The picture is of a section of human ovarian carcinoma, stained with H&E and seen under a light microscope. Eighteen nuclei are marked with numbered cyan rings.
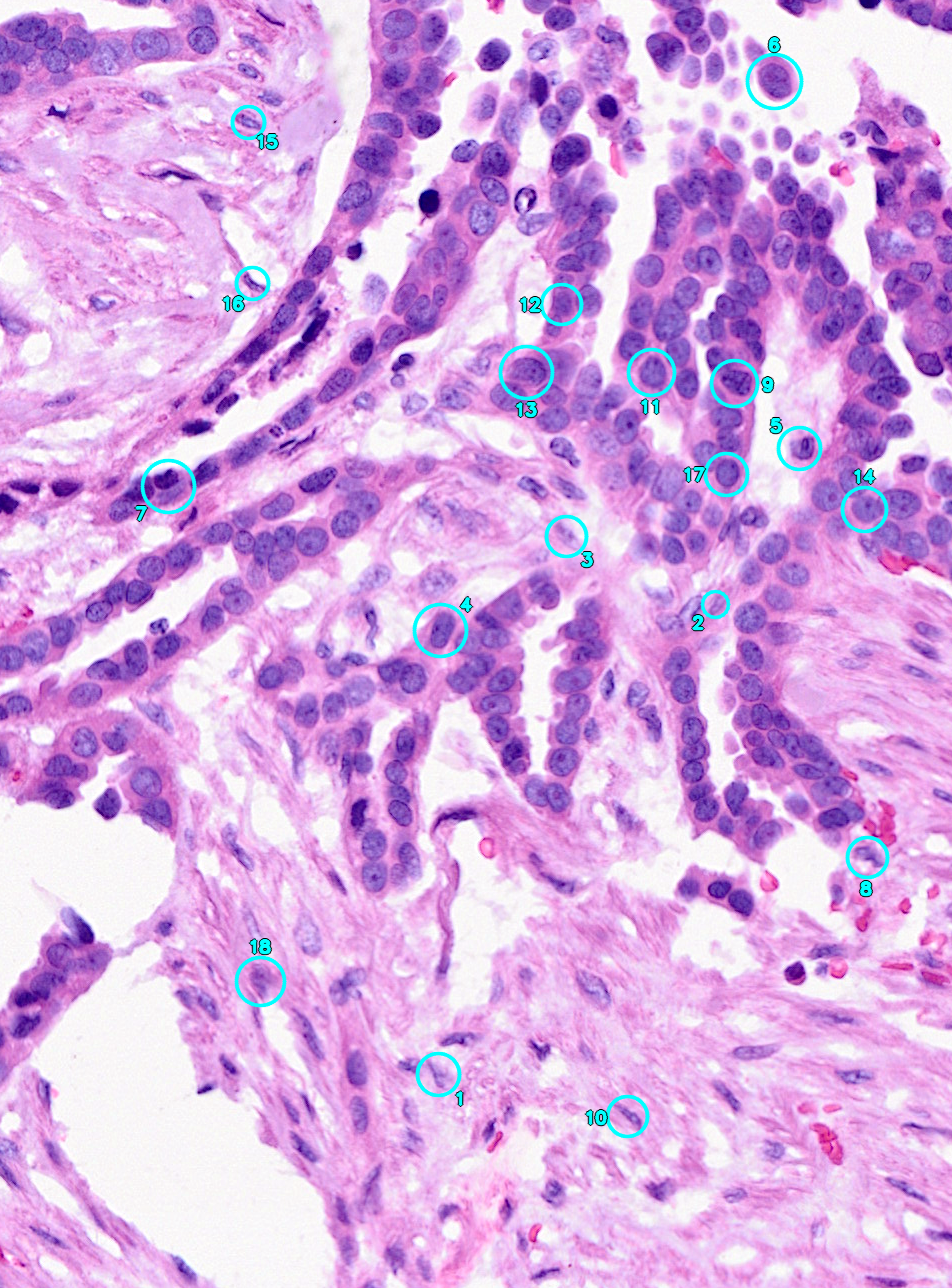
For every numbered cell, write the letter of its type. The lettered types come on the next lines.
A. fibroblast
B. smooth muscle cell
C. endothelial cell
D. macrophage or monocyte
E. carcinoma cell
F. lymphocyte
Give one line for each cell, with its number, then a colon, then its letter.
1: A
2: A
3: A
4: E
5: D
6: E
7: E
8: A
9: E
10: A
11: E
12: E
13: E
14: E
15: A
16: A
17: E
18: A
